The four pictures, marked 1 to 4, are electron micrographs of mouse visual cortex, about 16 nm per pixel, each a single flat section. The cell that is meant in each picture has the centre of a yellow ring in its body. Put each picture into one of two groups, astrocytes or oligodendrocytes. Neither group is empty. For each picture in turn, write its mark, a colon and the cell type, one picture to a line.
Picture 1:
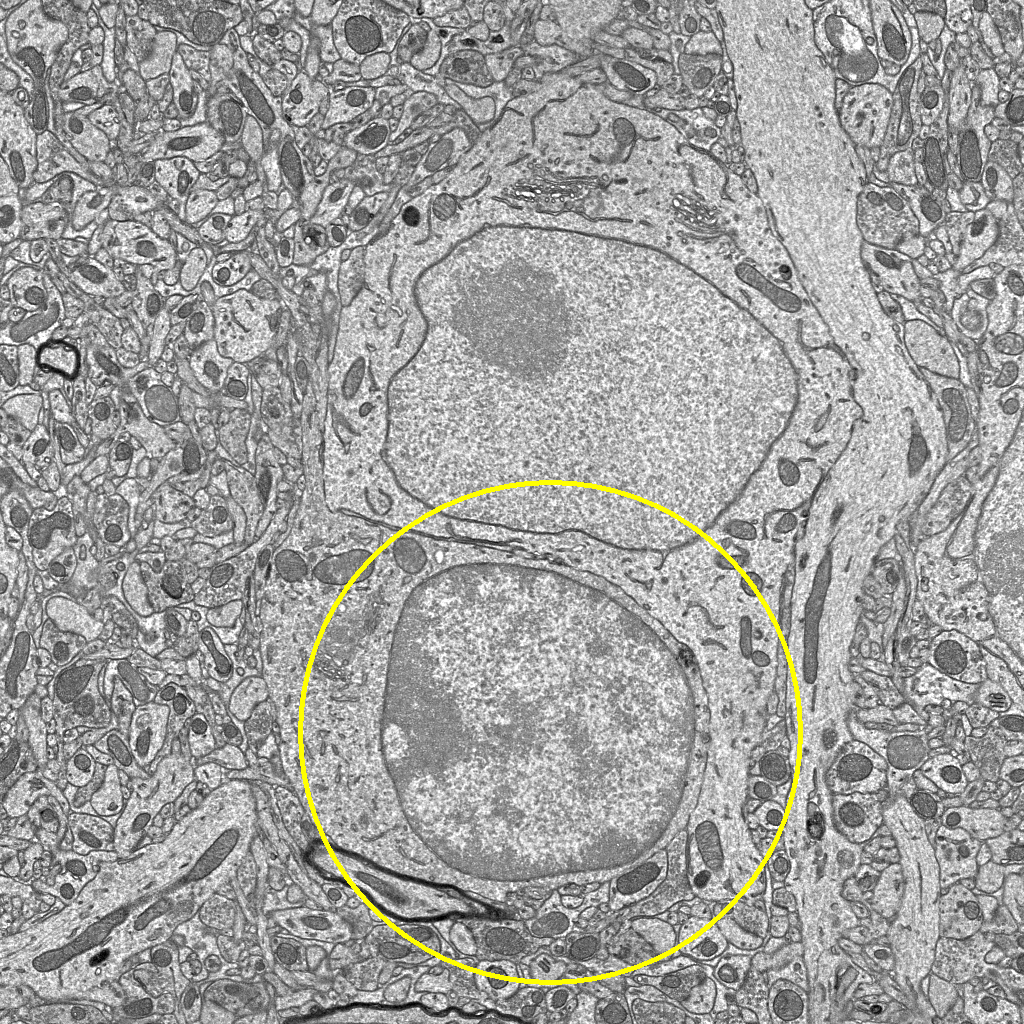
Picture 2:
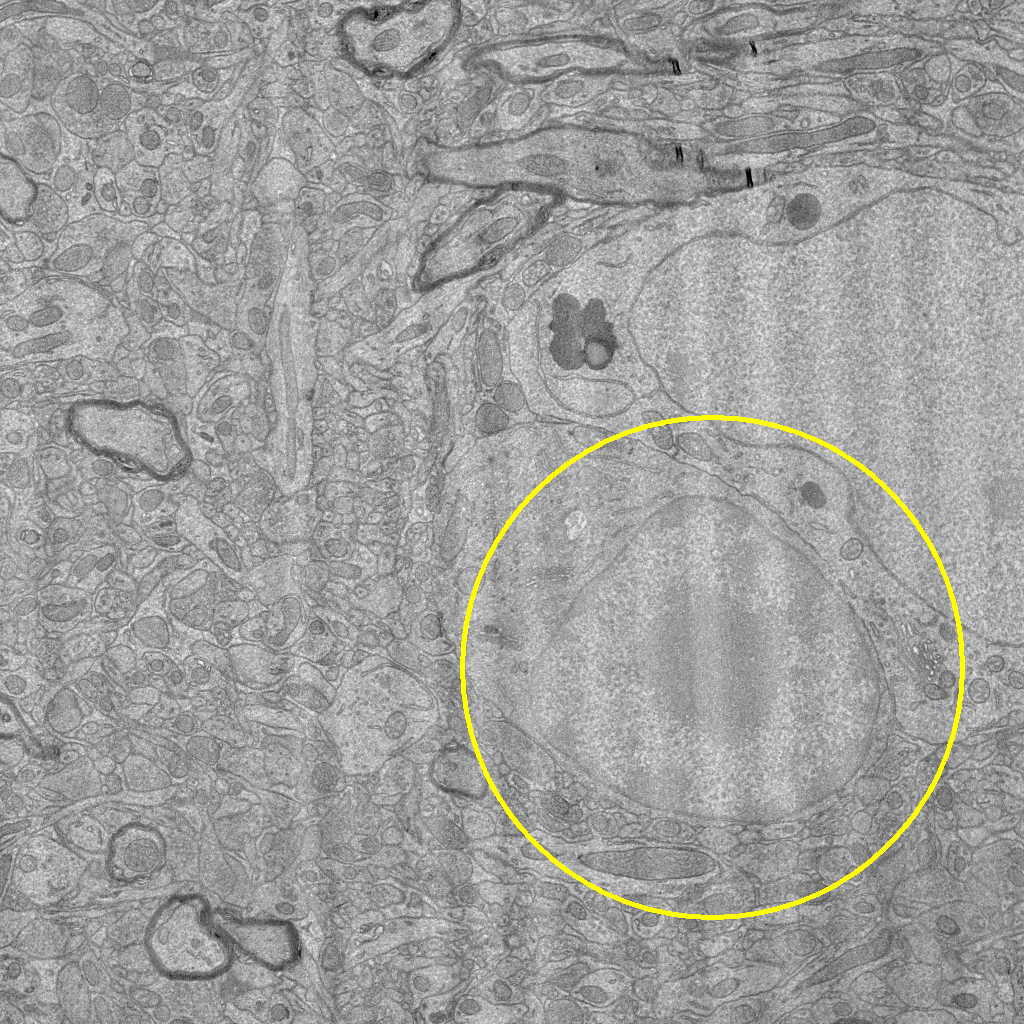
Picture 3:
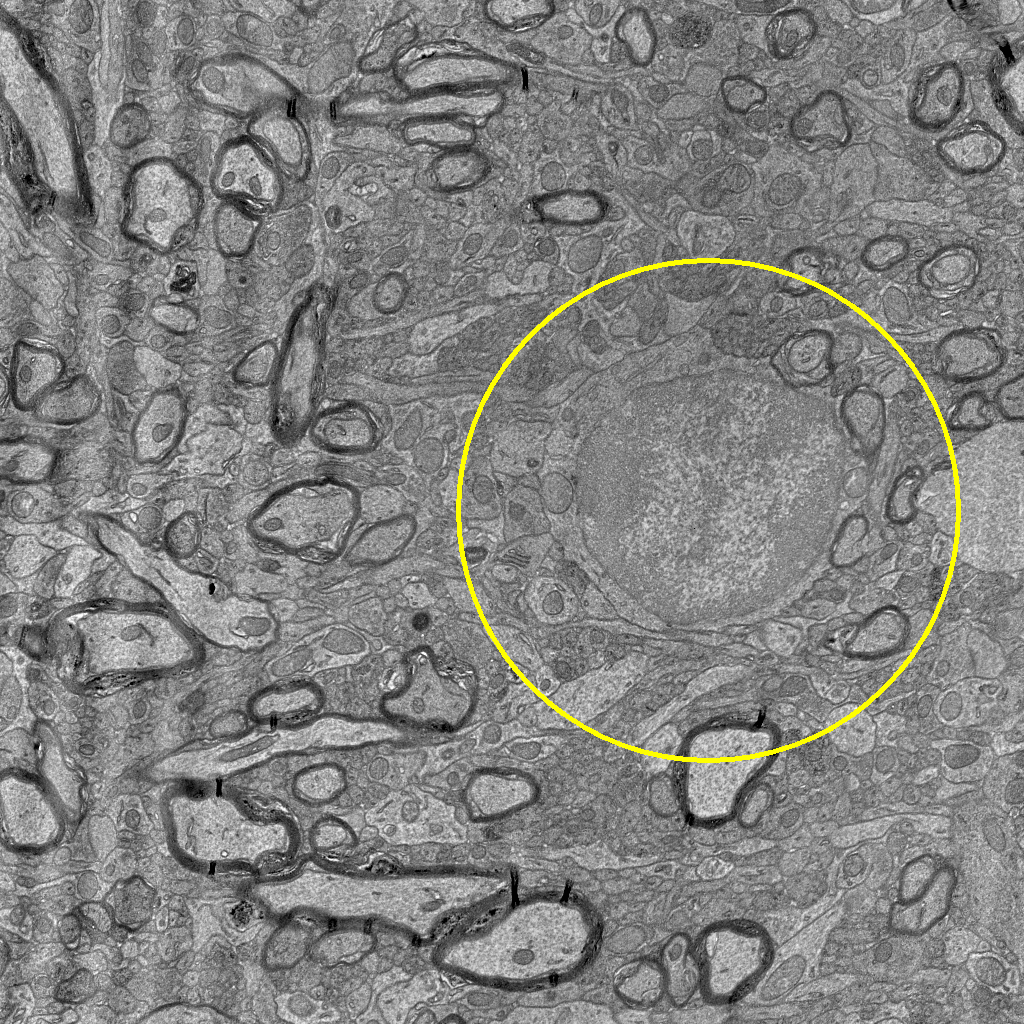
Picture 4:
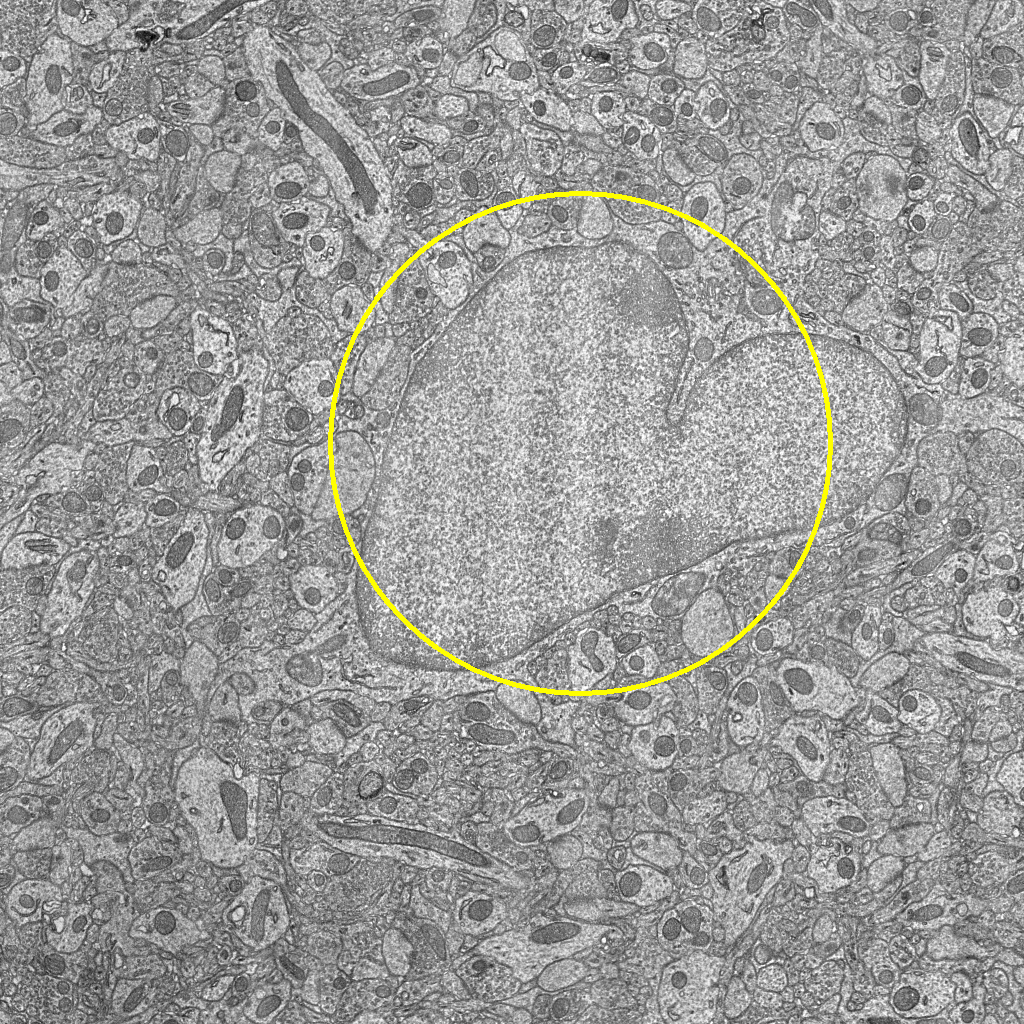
1: oligodendrocyte
2: oligodendrocyte
3: oligodendrocyte
4: astrocyte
